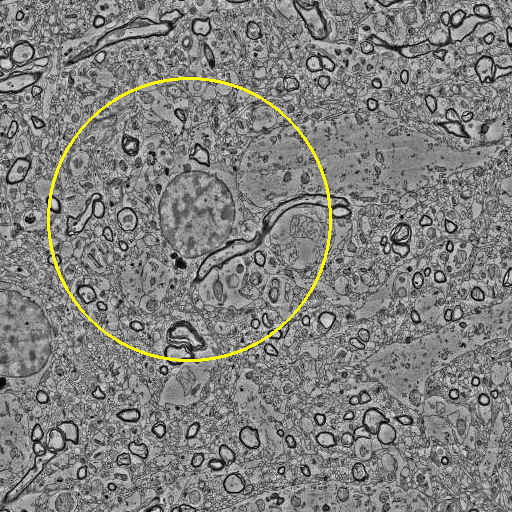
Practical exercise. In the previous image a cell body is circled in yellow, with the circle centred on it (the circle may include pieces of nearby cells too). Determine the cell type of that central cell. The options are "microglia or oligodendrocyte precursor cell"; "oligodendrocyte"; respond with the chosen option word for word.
oligodendrocyte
